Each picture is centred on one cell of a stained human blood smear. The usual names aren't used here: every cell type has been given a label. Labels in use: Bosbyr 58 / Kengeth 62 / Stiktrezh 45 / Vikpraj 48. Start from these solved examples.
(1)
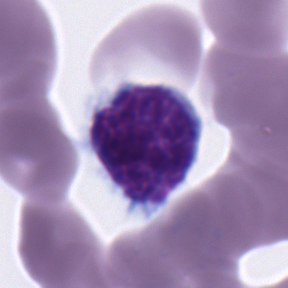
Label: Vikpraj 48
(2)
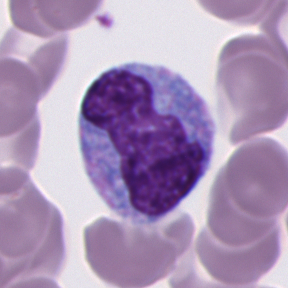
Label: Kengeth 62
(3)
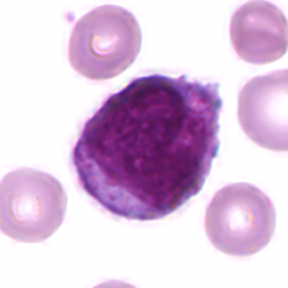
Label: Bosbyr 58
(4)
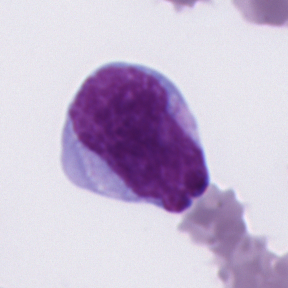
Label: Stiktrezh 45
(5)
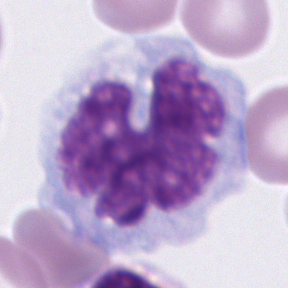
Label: Kengeth 62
